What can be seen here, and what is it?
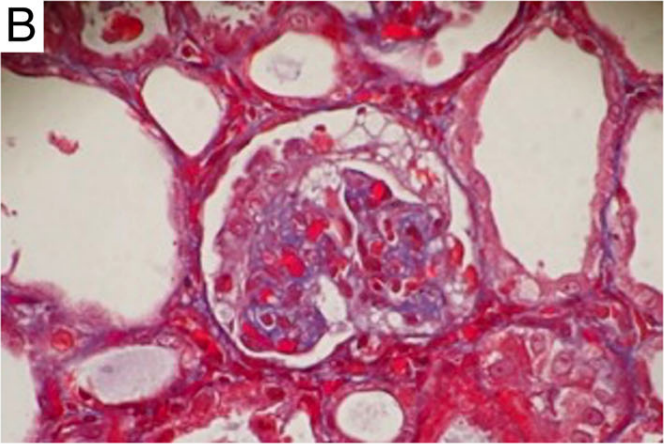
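Here a glomerulus sits inside an open Bowman's space, and its tuft is covered on the outside by crowded, pale cells with bubbly, vacuolated cytoplasm, best seen toward the upper right. The tuft itself holds purple-blue matrix and red-staining red cells, and the glomerulus is ringed by tubules with wide, pale lumens.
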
